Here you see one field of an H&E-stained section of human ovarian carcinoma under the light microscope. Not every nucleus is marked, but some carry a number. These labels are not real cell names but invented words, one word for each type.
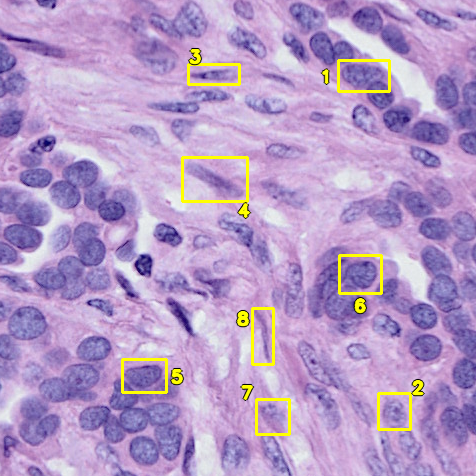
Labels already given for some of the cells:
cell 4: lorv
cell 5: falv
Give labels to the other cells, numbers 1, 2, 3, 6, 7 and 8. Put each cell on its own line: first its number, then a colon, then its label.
1: falv
2: lorv
3: lorv
6: falv
7: lorv
8: lorv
